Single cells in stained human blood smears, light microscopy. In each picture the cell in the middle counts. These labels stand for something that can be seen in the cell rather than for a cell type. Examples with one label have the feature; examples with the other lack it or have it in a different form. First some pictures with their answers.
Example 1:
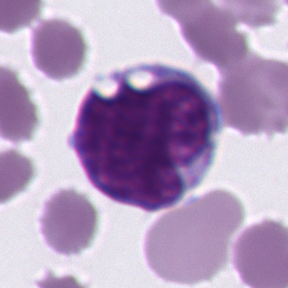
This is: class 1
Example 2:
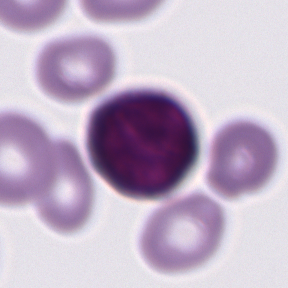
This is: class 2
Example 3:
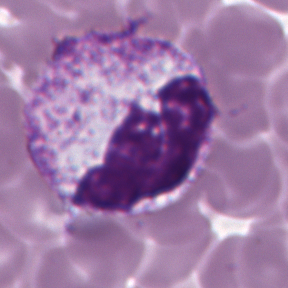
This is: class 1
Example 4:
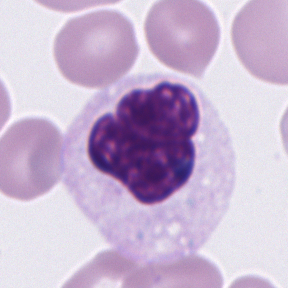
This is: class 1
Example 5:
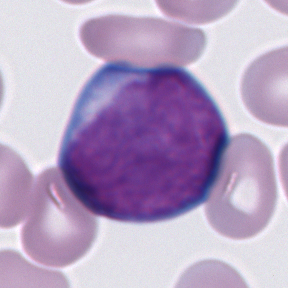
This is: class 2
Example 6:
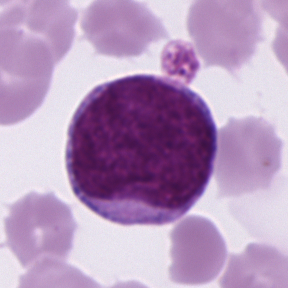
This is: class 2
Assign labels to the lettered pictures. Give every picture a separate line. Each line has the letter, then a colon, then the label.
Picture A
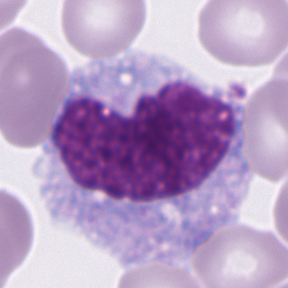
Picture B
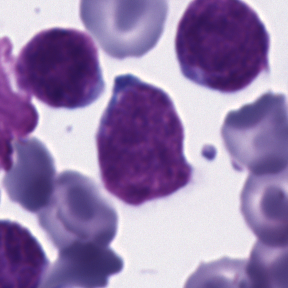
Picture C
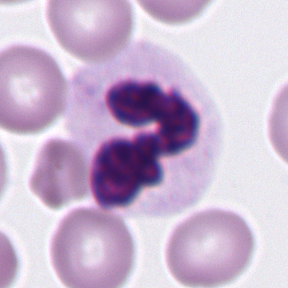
A: class 1
B: class 2
C: class 2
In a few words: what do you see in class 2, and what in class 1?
In class 2: no vacuoles. In class 1: vacuoles present.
